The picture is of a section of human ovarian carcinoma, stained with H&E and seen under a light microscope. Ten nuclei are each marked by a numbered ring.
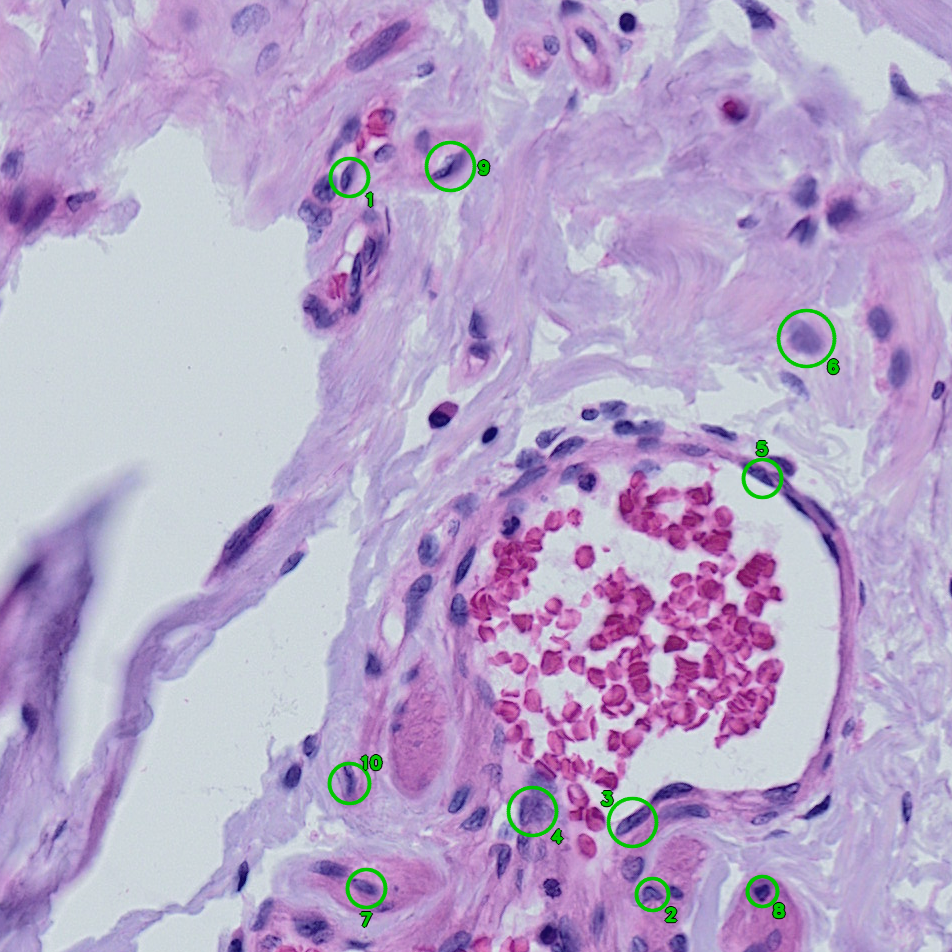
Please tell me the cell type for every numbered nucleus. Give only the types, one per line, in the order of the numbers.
endothelial cell
smooth muscle cell
endothelial cell
endothelial cell
endothelial cell
fibroblast
smooth muscle cell
smooth muscle cell
endothelial cell
endothelial cell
